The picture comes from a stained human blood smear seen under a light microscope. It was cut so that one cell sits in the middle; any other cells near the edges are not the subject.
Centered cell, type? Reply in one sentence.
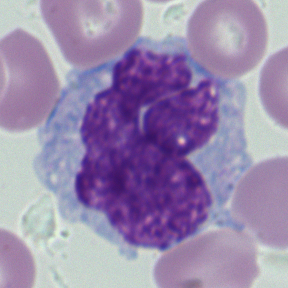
For this crop, the cell in the middle is a monocyte.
